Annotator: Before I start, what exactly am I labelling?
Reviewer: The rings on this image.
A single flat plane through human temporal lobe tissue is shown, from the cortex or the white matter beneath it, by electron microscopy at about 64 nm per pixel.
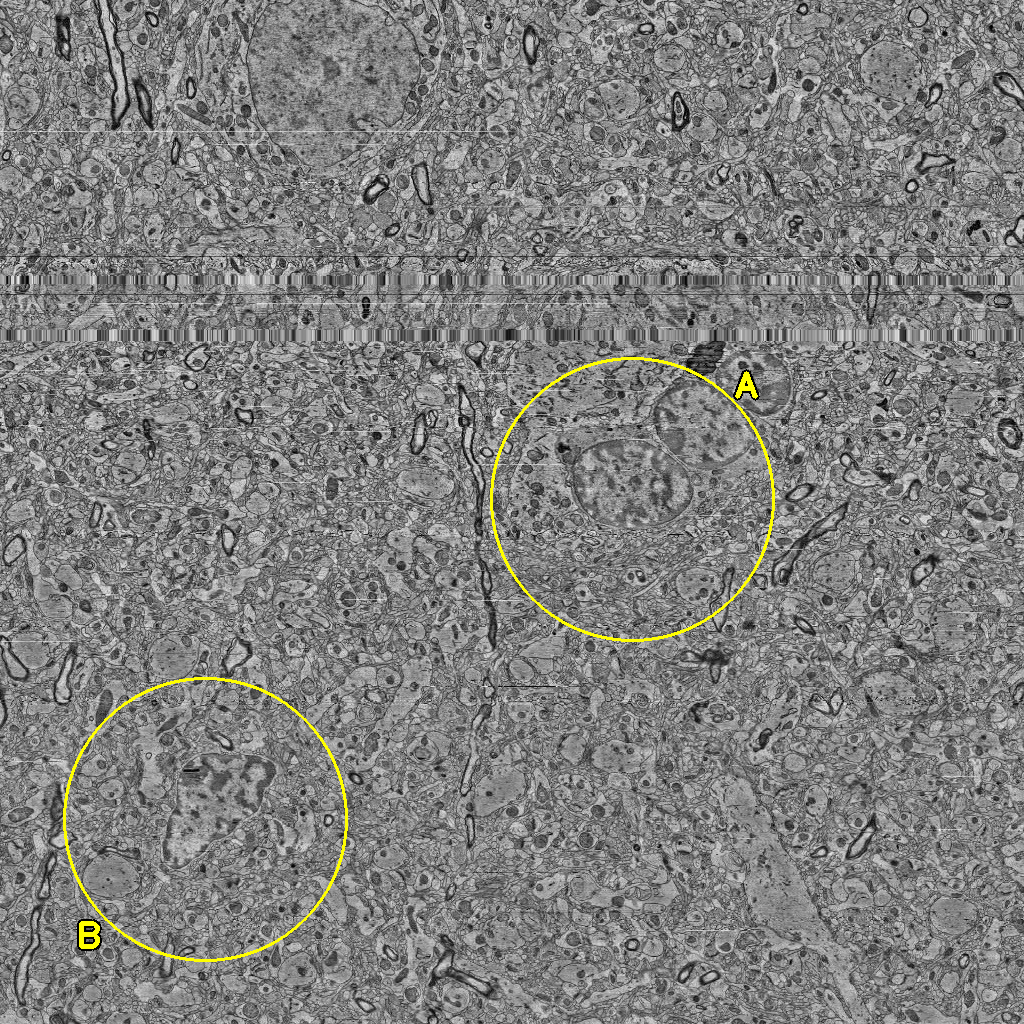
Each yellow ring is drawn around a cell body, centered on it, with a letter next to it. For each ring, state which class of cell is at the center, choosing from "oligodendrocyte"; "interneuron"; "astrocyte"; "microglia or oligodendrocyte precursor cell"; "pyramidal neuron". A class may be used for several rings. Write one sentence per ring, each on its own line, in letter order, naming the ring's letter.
At the center of ring A we have an oligodendrocyte.
At the center of ring B we have a microglial cell or oligodendrocyte precursor cell.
